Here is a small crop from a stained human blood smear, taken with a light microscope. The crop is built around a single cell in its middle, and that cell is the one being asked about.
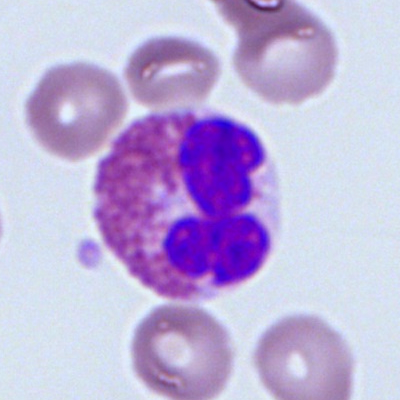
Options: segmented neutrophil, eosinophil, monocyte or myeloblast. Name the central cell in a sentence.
The crop shows an eosinophil in its centre.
